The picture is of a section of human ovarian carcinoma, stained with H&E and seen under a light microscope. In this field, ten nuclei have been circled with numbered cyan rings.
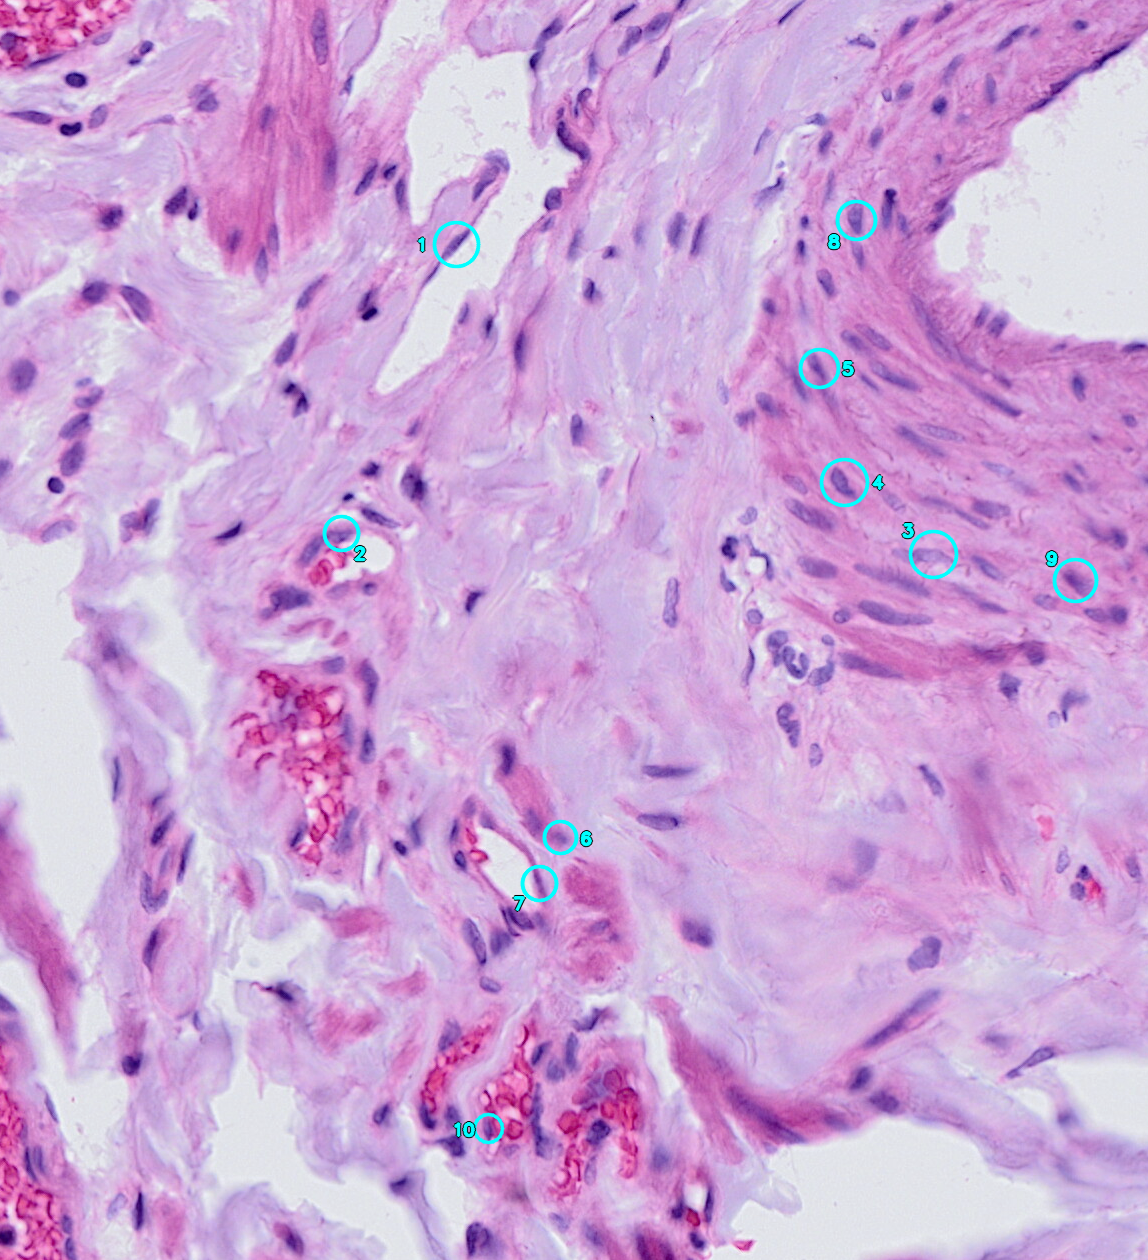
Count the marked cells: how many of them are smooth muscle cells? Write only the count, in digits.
6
